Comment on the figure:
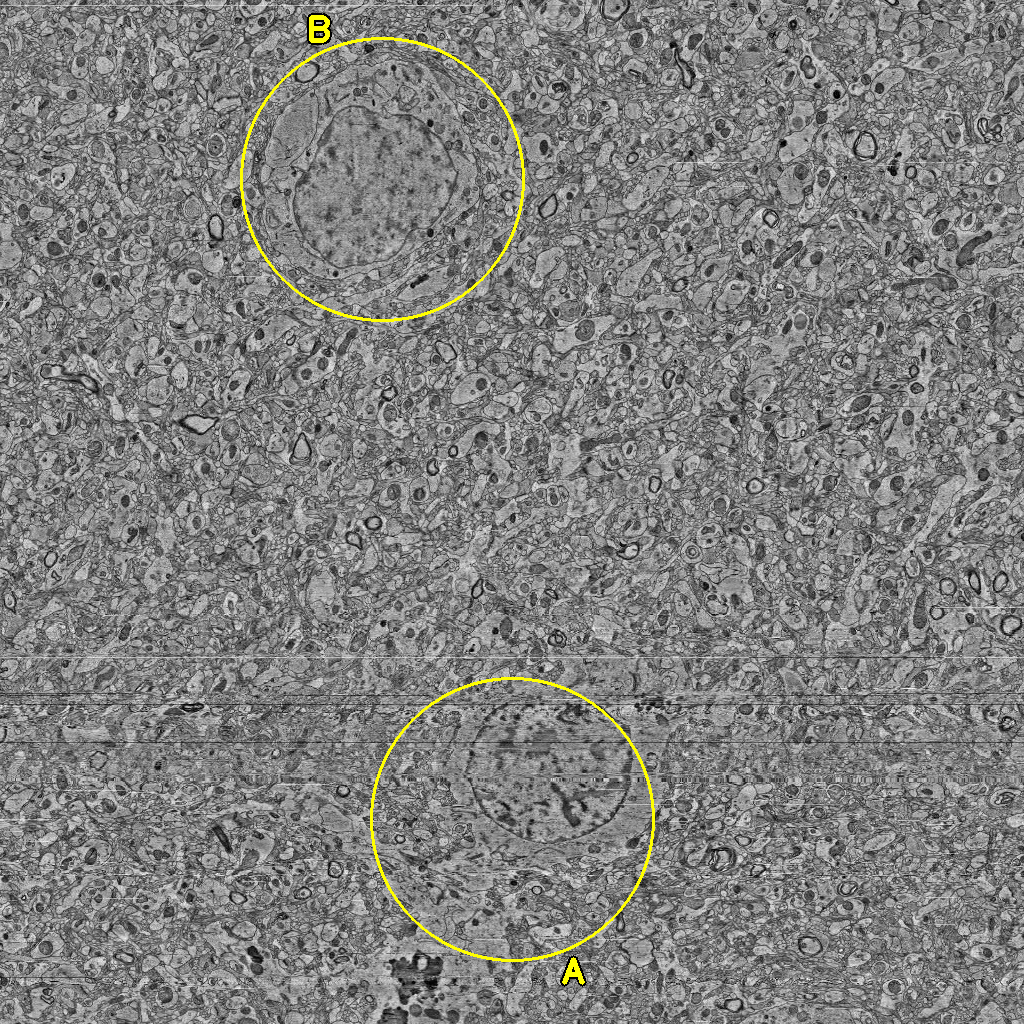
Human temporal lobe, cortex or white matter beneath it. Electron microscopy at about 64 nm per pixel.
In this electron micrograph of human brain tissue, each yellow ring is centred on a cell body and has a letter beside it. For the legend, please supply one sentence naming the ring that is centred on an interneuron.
Ring B is centred on that cell.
